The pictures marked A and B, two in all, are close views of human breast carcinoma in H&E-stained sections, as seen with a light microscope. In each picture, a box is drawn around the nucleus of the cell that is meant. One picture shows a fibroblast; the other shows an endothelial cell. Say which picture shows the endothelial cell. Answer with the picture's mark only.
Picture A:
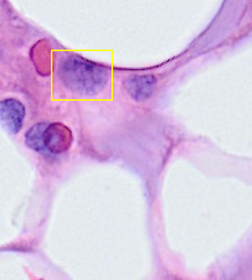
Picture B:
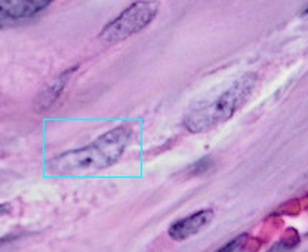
A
